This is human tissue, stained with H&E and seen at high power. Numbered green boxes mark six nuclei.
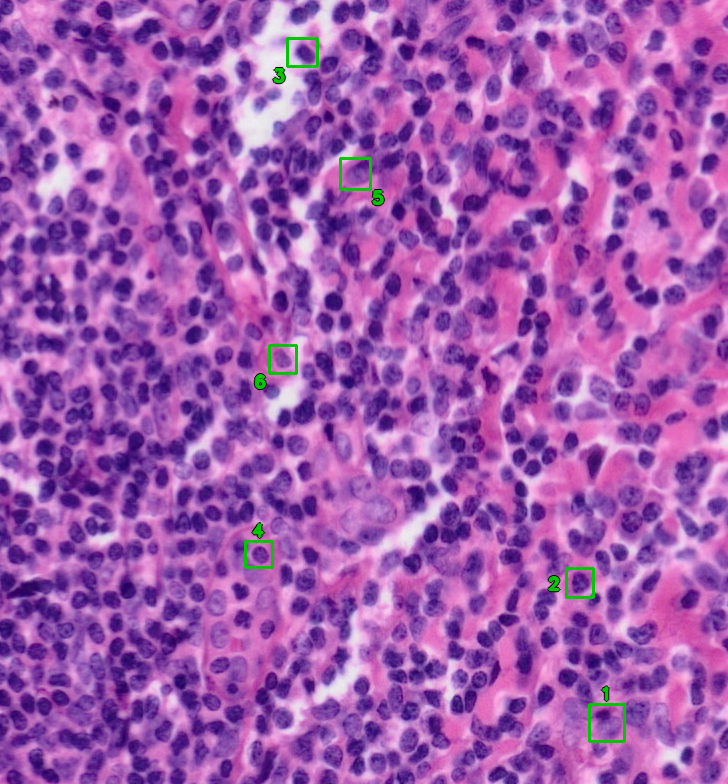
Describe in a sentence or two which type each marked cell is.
Cells 1, 4, 5 and 6 are endothelial cells. Cell 2 is a plasma cell. Cell 3 is a small lymphocyte.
